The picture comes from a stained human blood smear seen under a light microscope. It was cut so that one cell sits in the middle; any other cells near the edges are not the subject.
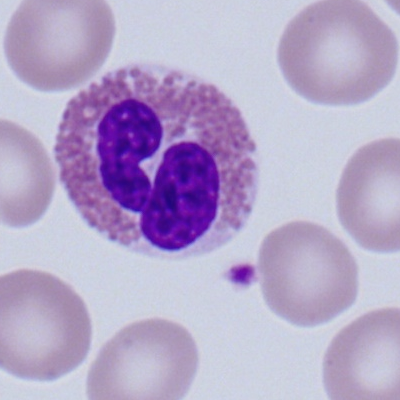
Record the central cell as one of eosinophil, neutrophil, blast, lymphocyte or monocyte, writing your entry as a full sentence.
The cell featured at the centre of this crop is an eosinophil.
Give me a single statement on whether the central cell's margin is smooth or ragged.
Smooth all around, the outline has no projections to report.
